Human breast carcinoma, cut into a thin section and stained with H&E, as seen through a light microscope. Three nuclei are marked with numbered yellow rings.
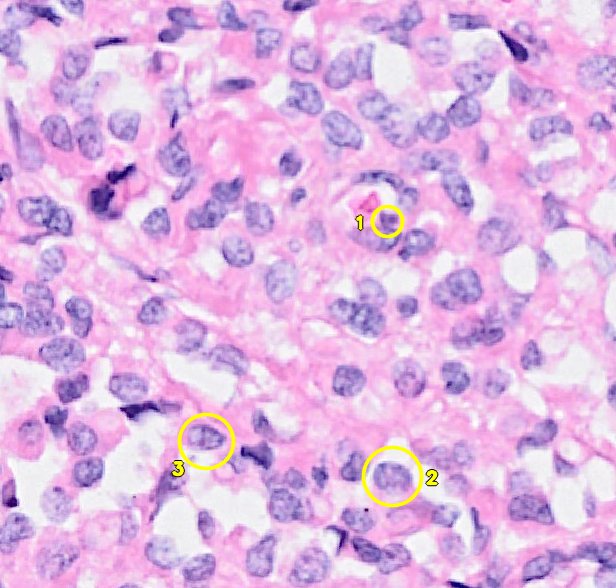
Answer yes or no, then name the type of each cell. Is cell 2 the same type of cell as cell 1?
No, the cell marked 2 is a carcinoma cell, and the cell marked 1 is an endothelial cell.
